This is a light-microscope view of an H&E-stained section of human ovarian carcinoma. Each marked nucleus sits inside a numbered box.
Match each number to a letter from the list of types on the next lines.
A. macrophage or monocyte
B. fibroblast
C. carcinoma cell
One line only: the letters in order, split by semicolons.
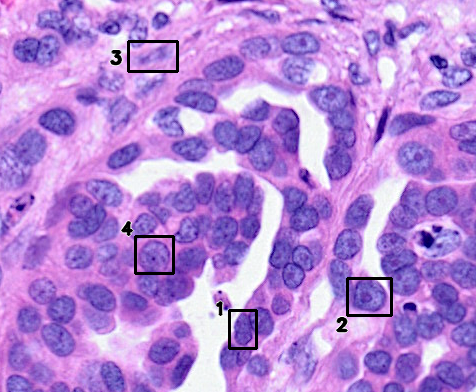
C; C; B; C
